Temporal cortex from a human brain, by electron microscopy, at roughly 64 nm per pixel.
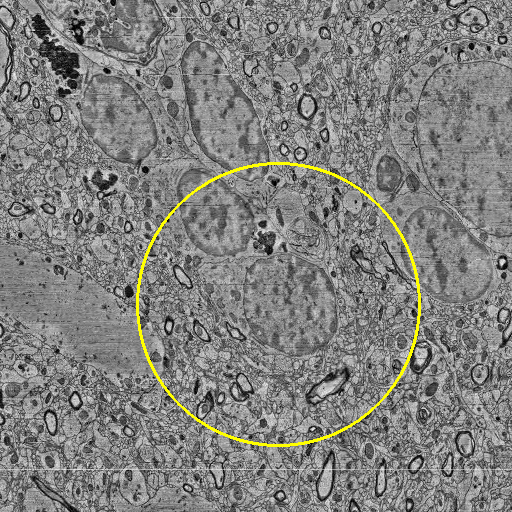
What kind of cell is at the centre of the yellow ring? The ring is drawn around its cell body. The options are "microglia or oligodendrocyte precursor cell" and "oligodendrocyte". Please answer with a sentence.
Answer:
The yellow ring marks the cell body of an oligodendrocyte.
